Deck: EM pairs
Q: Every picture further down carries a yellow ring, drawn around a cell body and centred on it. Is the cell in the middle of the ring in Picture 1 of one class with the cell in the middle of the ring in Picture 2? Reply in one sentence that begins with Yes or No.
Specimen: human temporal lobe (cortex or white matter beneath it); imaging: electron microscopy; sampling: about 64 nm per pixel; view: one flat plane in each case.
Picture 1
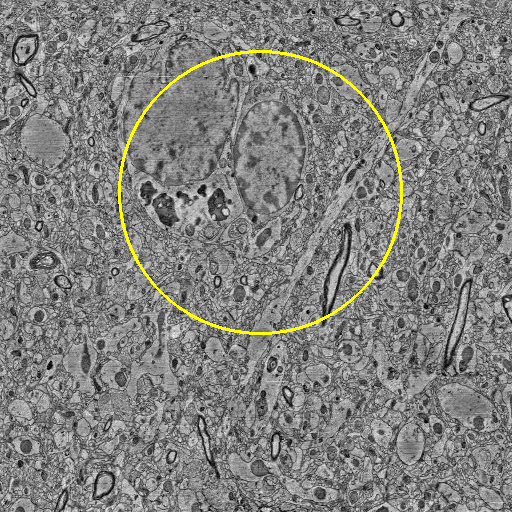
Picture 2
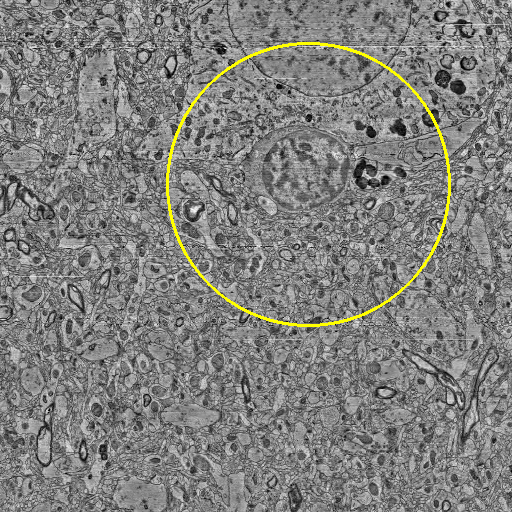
Yes, the cell centred in the ring of Picture 1 and the one in Picture 2 belong to one class.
